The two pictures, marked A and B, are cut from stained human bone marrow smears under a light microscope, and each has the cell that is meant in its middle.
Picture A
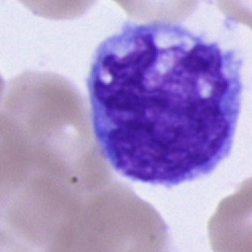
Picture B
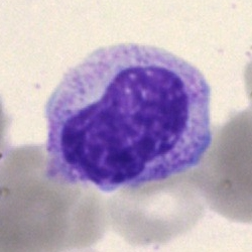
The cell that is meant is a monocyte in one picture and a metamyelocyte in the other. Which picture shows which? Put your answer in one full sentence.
In picture A the cell is a monocyte; in picture B, a metamyelocyte.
